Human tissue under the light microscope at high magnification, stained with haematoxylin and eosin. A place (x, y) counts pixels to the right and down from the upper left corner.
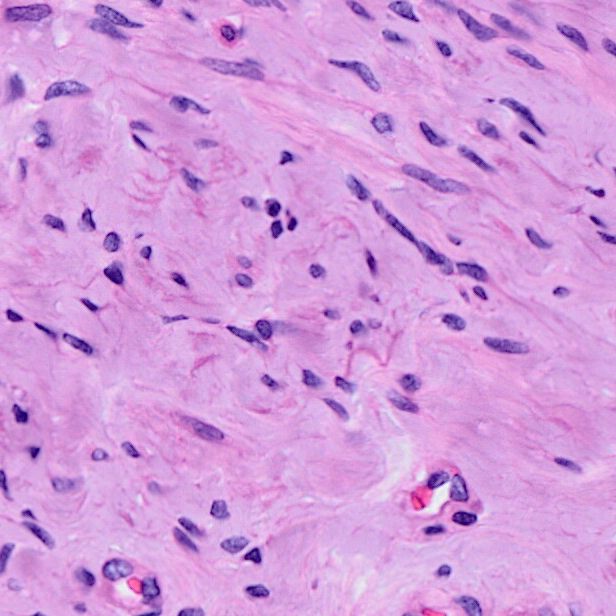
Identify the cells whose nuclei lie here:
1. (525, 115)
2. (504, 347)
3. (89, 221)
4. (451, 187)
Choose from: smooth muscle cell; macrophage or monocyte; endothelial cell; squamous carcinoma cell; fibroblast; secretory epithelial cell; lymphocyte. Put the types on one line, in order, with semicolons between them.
fibroblast; fibroblast; fibroblast; smooth muscle cell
